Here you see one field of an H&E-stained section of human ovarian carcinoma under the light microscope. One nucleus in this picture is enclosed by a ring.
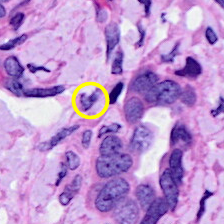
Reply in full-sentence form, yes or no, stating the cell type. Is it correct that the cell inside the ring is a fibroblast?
Yes, the classification of the cell inside the ring as a fibroblast is accurate.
